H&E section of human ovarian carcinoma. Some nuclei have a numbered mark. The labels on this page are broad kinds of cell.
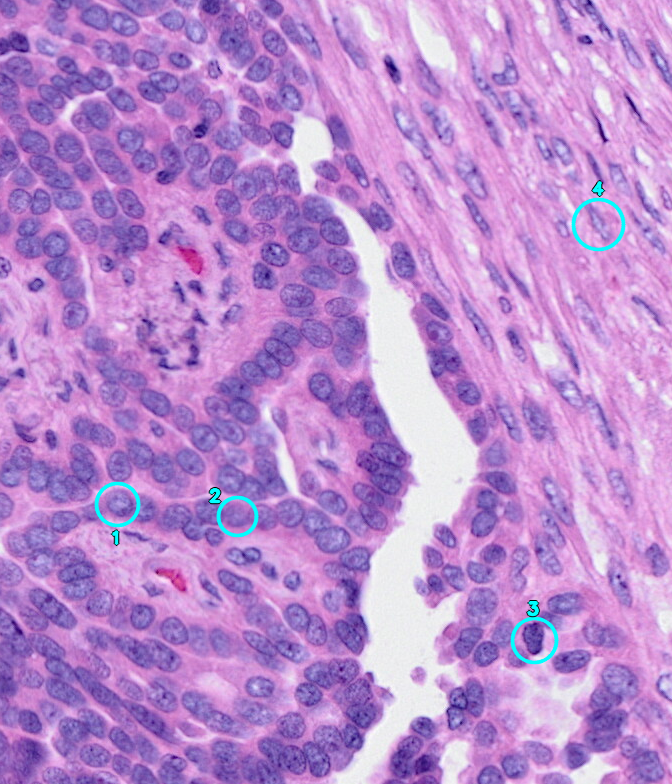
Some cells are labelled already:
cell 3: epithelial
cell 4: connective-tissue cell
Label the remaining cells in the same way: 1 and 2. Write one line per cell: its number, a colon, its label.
1: epithelial
2: epithelial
